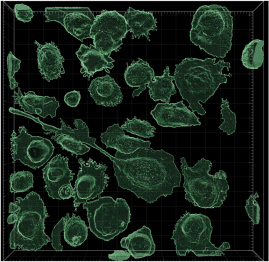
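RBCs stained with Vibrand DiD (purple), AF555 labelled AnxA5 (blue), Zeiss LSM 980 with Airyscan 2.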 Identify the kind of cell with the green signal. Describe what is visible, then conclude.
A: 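Large adherent cells with flattened, spread outlines and ruffled edges. Cells vary from rounded to irregular with short protrusions.
Macrophages.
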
